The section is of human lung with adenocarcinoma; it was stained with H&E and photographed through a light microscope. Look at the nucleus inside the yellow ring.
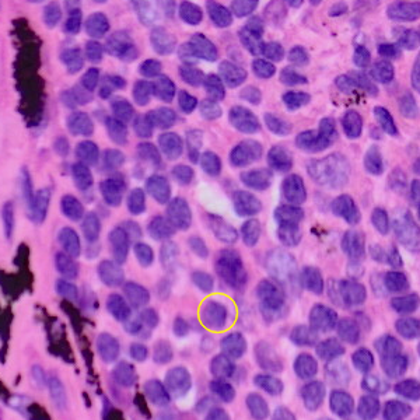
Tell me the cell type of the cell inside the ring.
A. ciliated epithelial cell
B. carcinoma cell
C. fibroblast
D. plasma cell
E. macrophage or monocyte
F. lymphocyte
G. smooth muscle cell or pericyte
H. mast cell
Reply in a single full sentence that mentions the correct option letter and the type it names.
Option F is the right choice, for the cell inside the ring is a lymphocyte.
